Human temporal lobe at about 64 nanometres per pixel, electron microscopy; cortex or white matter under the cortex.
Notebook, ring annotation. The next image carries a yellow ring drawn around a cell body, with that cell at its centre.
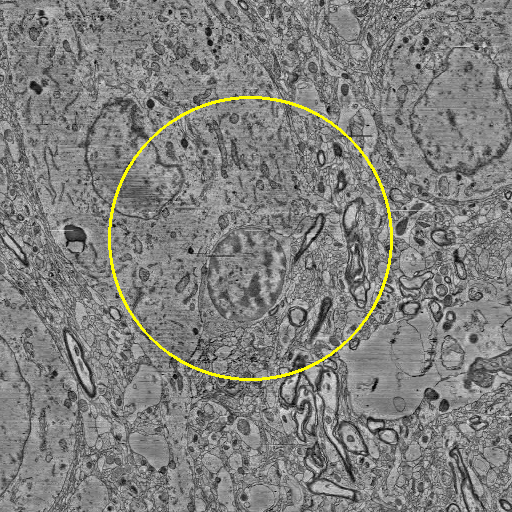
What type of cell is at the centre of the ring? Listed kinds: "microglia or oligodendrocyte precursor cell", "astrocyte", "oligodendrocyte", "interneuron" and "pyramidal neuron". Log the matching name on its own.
oligodendrocyte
